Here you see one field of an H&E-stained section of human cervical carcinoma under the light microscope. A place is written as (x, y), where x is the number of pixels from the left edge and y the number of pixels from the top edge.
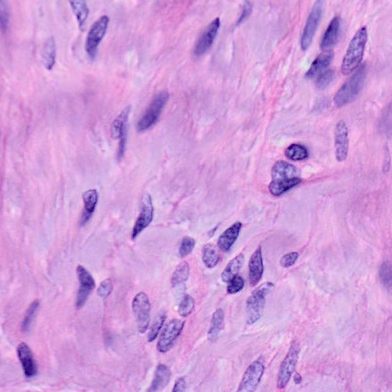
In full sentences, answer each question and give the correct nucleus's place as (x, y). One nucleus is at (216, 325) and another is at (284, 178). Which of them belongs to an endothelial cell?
Between the pair, the nucleus at (284, 178) belongs to an endothelial cell.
